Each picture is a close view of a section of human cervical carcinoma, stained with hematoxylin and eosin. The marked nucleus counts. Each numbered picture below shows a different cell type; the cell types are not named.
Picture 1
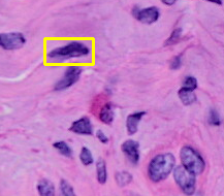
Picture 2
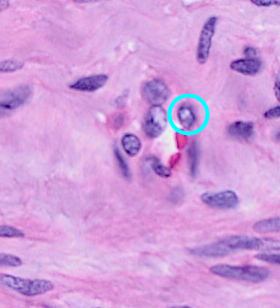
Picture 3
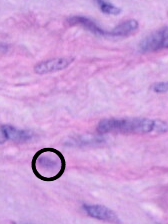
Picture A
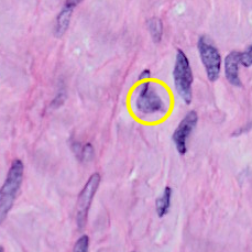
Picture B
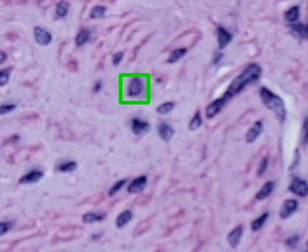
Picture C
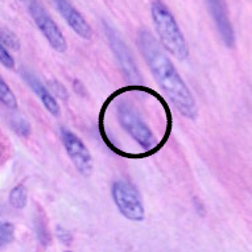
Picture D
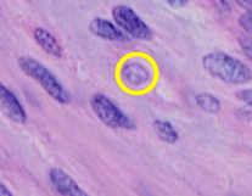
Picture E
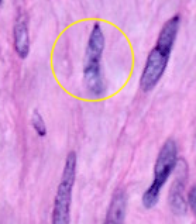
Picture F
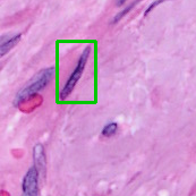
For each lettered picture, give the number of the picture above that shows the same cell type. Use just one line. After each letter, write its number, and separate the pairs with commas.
A 1, B 3, C 3, D 2, E 1, F 2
